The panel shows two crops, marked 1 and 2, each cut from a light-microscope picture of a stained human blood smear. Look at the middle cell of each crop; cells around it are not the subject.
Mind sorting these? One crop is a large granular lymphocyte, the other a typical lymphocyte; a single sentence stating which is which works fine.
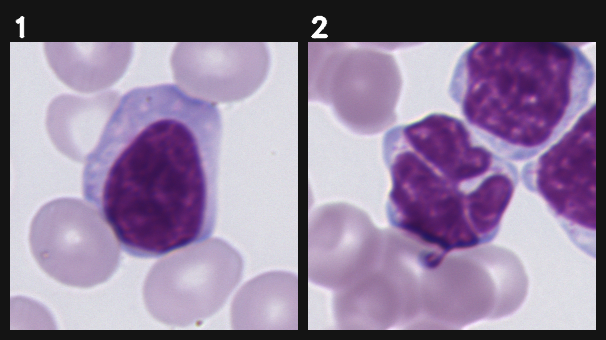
The designated cell in crop 1 is a typical lymphocyte, and the designated cell in crop 2 is a large granular lymphocyte.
